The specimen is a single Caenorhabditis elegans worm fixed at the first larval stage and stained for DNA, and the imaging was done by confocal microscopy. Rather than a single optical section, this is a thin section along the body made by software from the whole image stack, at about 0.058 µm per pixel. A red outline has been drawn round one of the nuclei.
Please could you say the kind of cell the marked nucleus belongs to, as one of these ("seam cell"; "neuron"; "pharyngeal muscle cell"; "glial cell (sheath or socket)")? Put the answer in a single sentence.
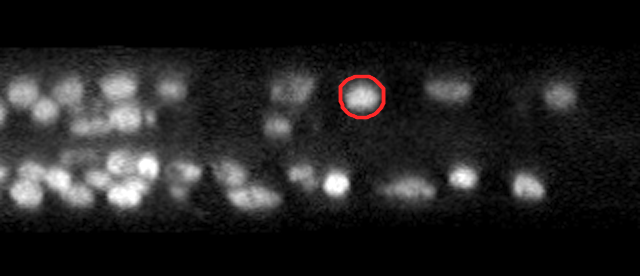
The cell with the marked nucleus is a glial cell (sheath or socket).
